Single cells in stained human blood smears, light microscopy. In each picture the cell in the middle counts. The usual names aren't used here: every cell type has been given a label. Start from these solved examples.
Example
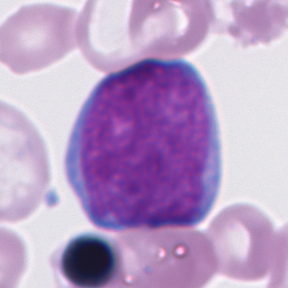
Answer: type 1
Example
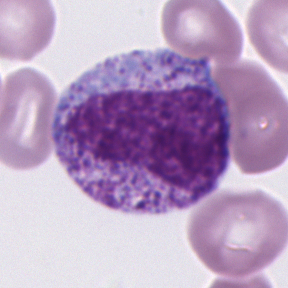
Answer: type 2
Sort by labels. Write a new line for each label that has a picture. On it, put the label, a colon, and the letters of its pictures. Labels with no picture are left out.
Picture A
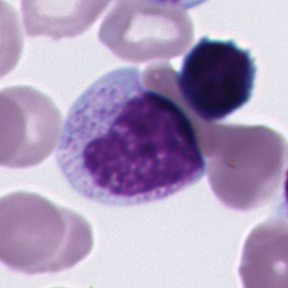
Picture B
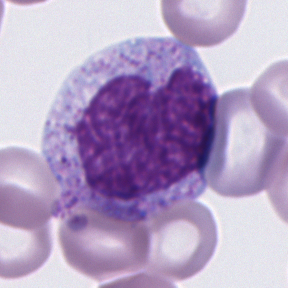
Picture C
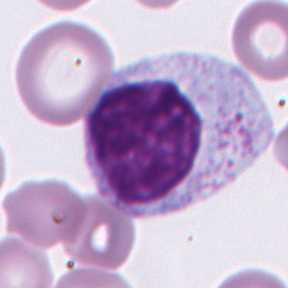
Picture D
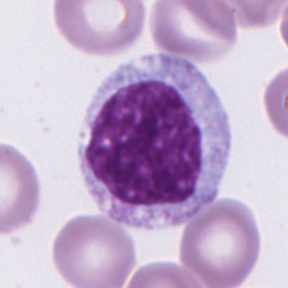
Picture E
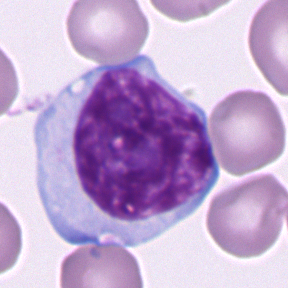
type 1: E
type 2: A, B, C, D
